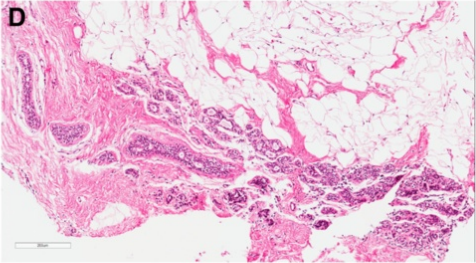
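This is breast tissue in which a band of epithelial ducts and small lobules runs through loose pink stroma surrounded by abundant fat. The epithelial structures are elongated and rounded tubules lined by cells with dark purple nuclei, crowded along a diagonal strip. Large empty polygonal fat cells with thin rims fill much of the upper field and are separated by fine fibrous septa.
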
